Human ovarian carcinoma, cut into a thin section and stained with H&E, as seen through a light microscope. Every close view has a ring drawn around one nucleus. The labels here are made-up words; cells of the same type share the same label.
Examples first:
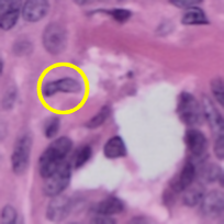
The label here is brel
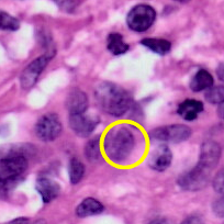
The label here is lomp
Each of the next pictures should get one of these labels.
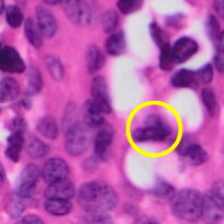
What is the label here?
lomp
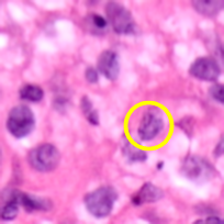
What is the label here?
brel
